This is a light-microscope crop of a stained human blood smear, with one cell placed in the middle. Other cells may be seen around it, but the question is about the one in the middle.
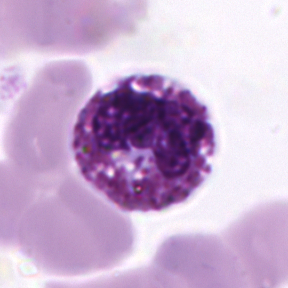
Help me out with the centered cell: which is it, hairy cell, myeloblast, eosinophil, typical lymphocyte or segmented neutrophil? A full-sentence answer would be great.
The cell in the exact centre of the crop is an eosinophil.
